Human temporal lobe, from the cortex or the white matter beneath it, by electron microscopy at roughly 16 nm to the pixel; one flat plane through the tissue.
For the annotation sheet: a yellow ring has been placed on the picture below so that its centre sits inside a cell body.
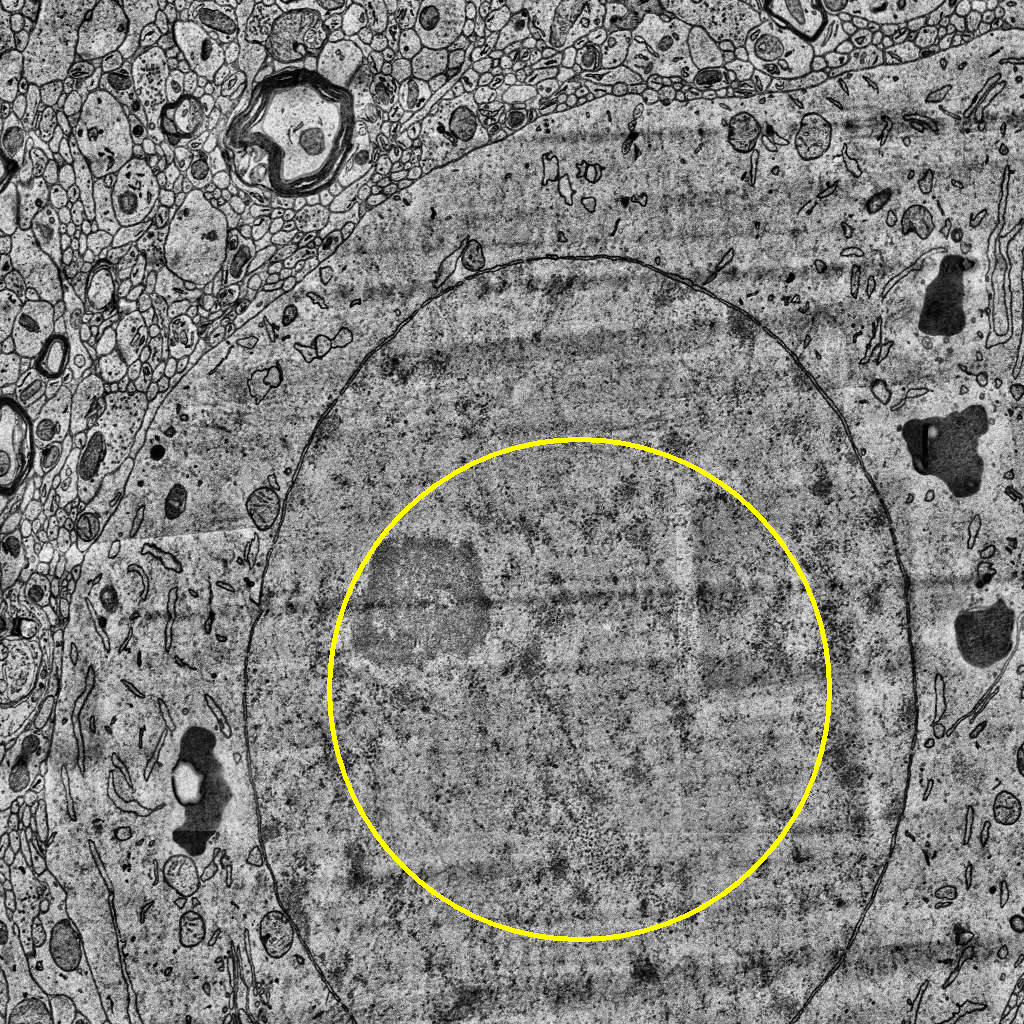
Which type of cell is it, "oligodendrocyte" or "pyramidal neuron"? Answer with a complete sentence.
The cell at the ring's centre is a pyramidal neuron.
